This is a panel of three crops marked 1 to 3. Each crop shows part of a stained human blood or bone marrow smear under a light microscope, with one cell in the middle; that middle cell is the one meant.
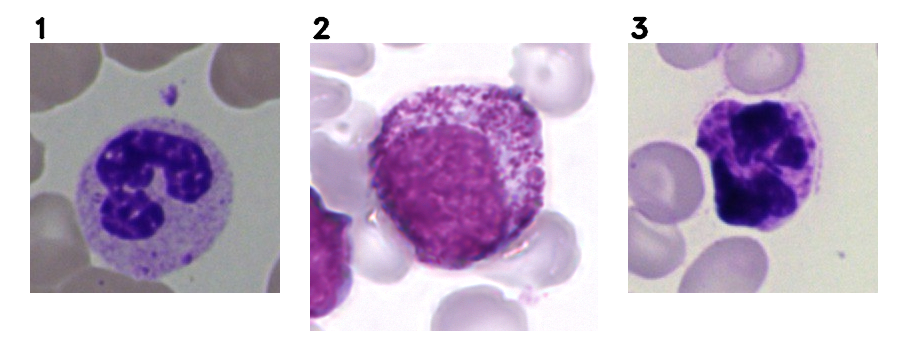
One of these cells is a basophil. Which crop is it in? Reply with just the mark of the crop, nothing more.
3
